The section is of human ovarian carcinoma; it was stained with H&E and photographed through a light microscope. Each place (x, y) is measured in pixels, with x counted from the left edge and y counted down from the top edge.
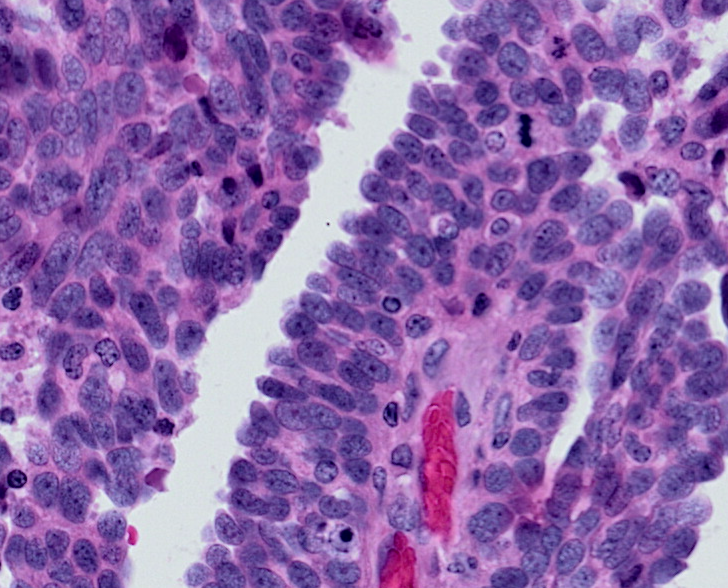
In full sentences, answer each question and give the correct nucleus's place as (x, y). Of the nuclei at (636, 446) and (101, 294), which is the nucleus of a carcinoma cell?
The nucleus whose cell is a carcinoma cell is the one at (101, 294).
